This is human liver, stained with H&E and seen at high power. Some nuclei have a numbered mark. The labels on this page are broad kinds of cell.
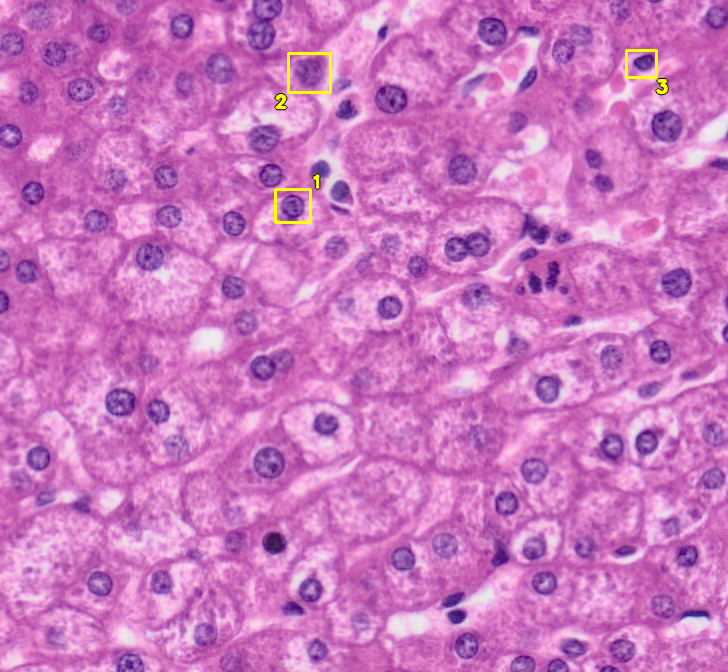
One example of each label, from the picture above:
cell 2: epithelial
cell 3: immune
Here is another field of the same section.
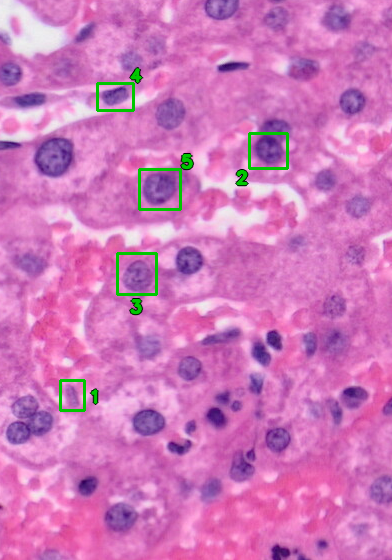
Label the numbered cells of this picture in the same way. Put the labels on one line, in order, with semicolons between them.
immune; epithelial; epithelial; immune; epithelial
